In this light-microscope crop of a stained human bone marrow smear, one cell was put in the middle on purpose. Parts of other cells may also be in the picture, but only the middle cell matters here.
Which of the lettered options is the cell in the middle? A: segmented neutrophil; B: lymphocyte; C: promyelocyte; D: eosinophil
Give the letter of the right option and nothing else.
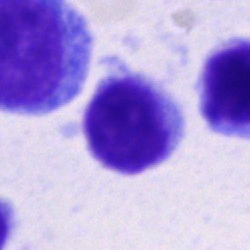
B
